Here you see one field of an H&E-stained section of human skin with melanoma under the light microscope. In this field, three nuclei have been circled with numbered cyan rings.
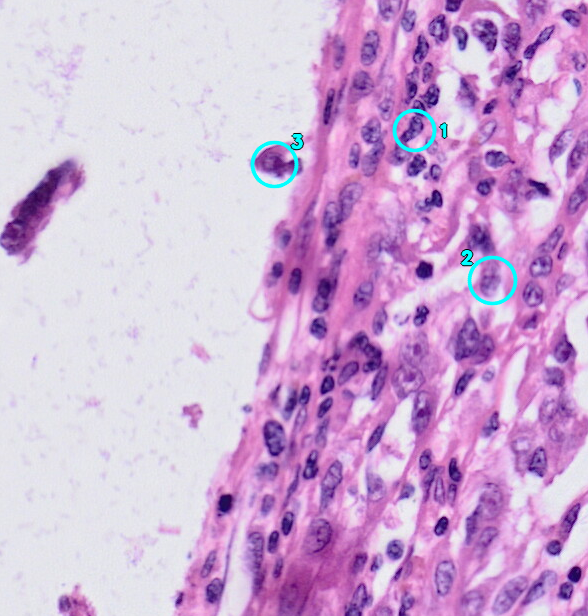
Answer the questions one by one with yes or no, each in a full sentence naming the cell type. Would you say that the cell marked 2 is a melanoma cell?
Yes, in this section the cell numbered 2 is a melanoma cell.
